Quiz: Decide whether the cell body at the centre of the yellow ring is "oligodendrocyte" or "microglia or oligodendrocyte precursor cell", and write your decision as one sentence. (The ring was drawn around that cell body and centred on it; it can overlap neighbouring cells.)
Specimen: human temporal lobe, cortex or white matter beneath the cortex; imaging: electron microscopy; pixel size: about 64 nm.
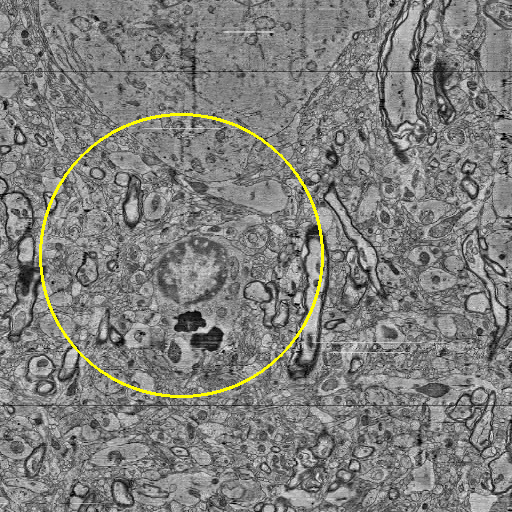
The cell the ring is centred on is an oligodendrocyte.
